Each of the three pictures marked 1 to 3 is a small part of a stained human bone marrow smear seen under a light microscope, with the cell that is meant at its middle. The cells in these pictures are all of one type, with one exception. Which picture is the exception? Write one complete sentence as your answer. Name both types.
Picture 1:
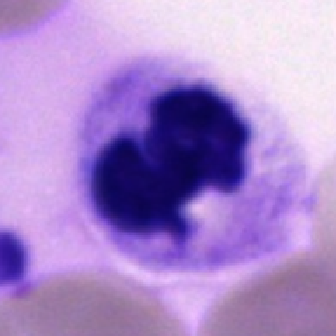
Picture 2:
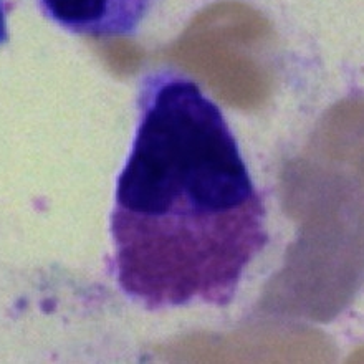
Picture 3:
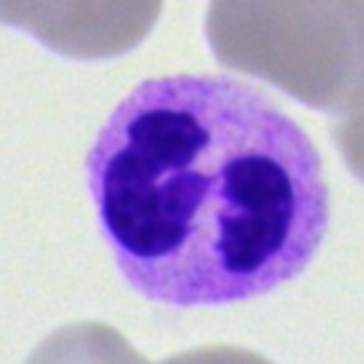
Picture 2 differs, because its cell is an eosinophil and the rest are segmented neutrophils.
